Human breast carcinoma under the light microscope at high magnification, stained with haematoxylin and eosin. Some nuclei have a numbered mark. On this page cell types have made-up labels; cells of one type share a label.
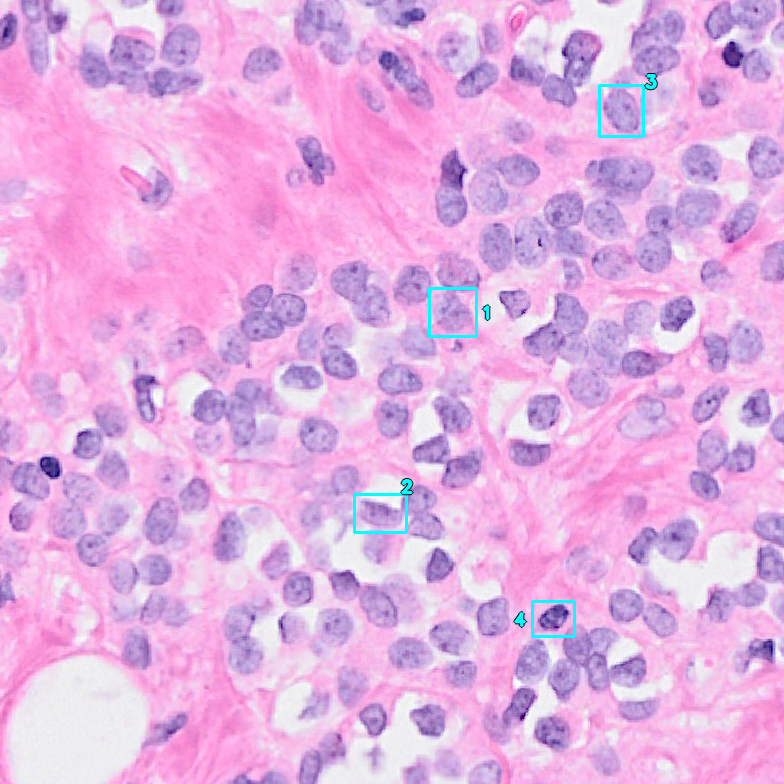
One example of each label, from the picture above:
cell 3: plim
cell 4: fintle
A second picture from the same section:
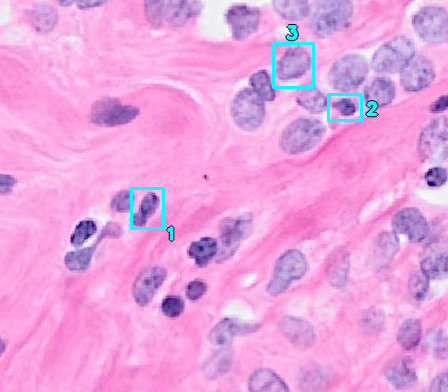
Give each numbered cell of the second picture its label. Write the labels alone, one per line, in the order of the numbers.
fintle
fintle
plim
